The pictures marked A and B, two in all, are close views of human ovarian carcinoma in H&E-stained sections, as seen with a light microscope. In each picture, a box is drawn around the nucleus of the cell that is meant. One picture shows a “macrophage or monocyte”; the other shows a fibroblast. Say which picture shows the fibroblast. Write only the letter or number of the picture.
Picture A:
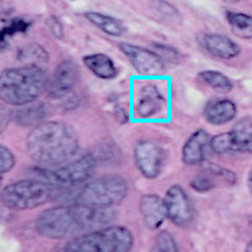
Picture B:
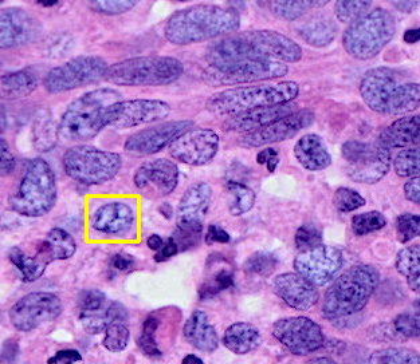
A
